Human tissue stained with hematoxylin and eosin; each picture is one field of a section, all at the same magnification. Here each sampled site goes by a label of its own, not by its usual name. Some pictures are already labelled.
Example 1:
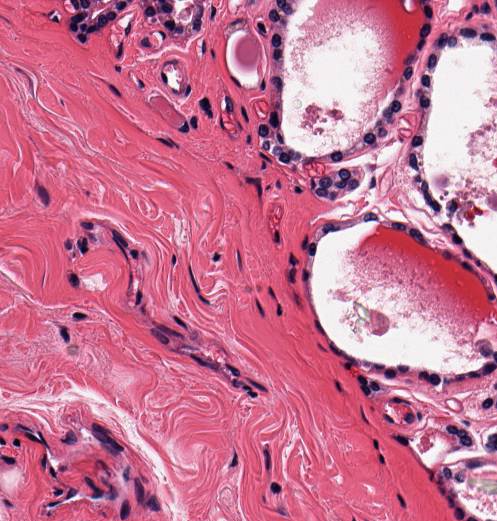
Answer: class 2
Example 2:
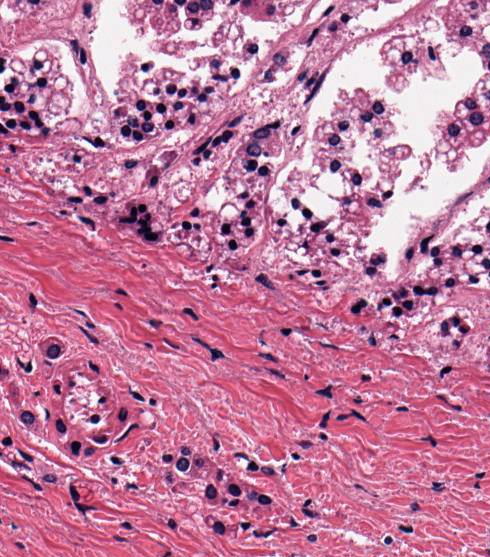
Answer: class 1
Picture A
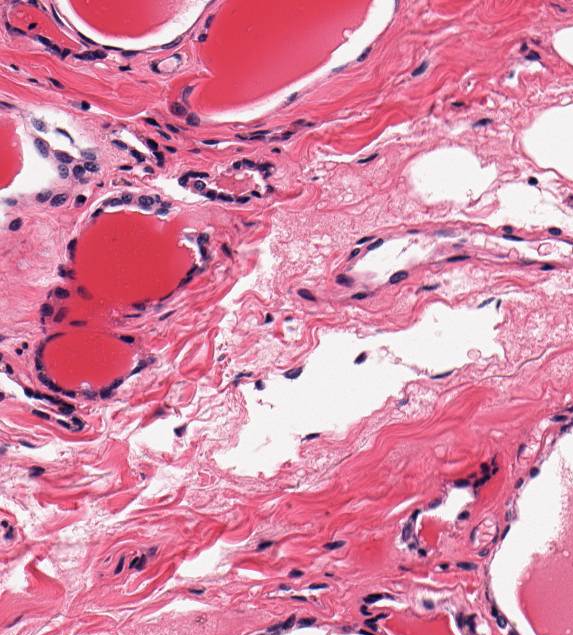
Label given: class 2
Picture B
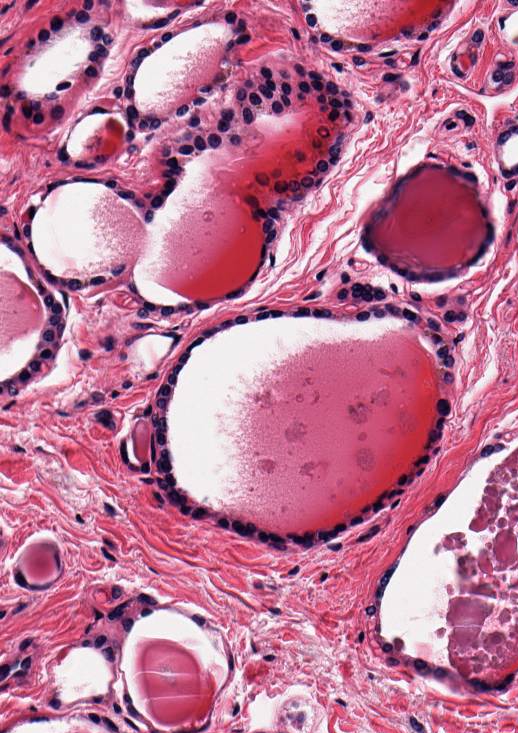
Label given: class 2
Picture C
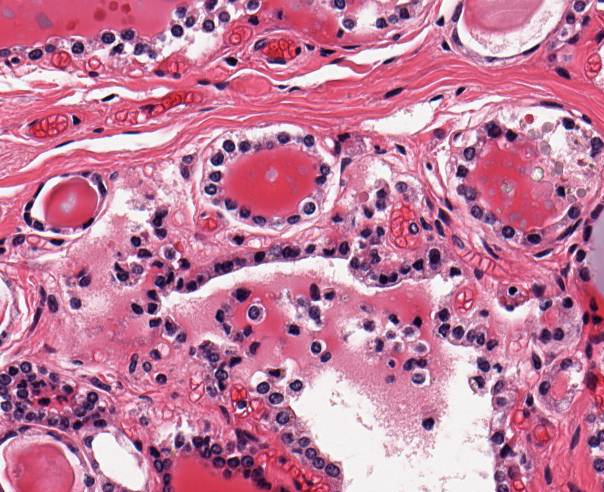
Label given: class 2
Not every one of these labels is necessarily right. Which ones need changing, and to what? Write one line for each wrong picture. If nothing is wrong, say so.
Every label is right.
